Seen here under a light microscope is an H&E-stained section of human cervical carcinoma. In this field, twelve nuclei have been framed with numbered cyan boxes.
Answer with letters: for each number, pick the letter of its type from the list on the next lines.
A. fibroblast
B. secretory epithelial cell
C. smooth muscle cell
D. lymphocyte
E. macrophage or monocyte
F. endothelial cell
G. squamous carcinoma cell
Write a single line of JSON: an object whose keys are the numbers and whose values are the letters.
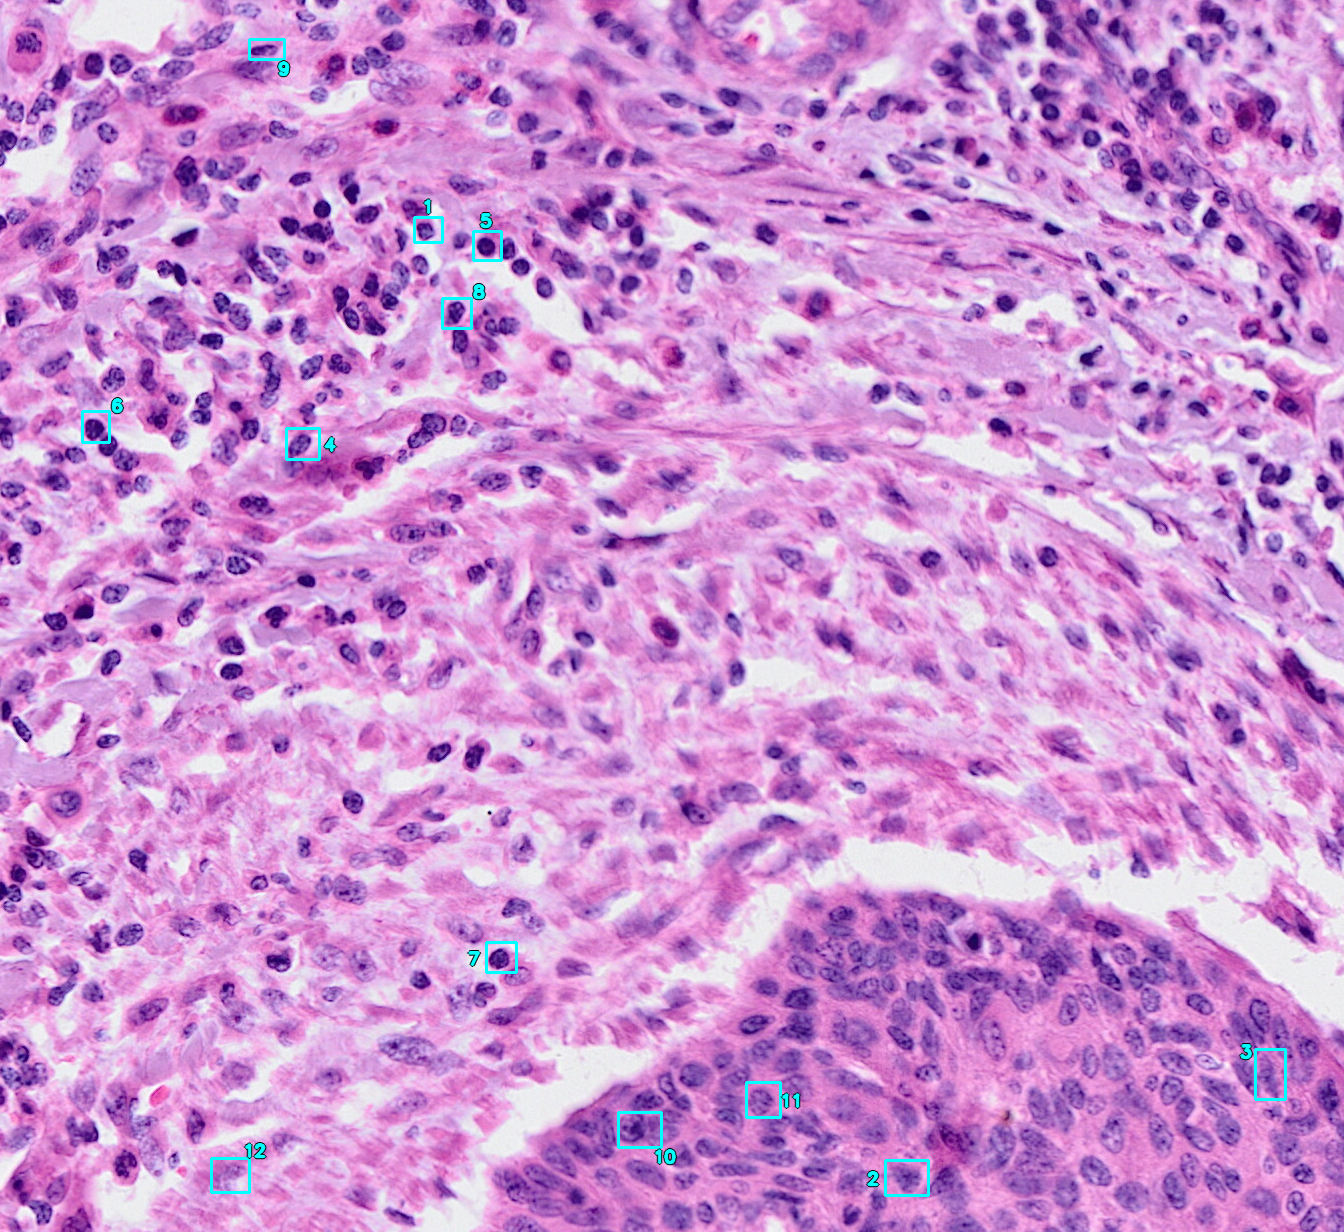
{"1": "D", "2": "G", "3": "G", "4": "D", "5": "D", "6": "D", "7": "D", "8": "D", "9": "D", "10": "G", "11": "G", "12": "A"}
